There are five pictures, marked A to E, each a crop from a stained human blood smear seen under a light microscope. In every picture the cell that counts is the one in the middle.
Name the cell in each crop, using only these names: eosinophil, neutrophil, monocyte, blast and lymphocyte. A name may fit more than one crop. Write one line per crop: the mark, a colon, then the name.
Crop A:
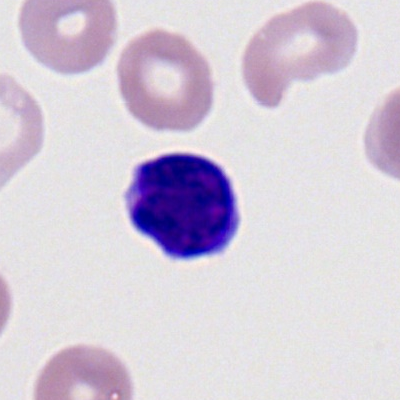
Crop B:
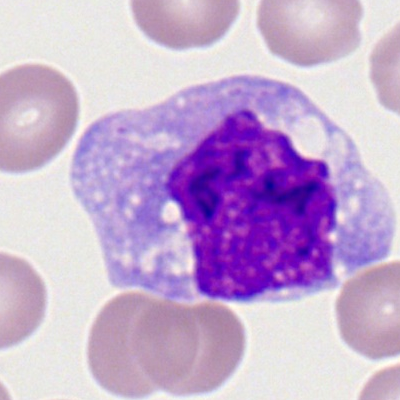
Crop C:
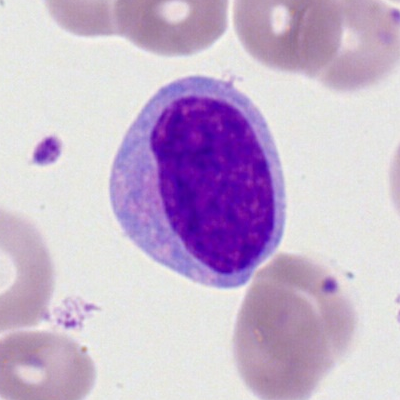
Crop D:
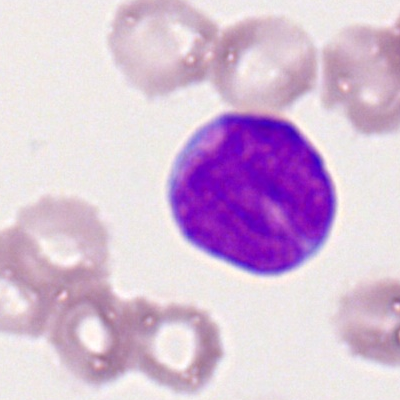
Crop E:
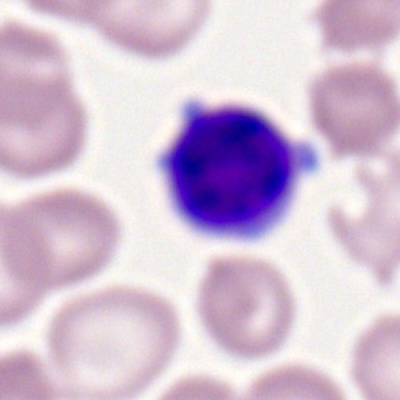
A: lymphocyte
B: monocyte
C: blast
D: blast
E: lymphocyte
